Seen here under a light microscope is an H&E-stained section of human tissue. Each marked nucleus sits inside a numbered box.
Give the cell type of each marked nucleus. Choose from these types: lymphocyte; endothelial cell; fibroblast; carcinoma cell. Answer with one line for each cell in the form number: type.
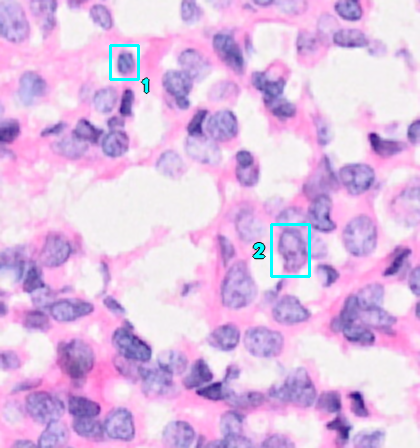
1: lymphocyte
2: carcinoma cell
